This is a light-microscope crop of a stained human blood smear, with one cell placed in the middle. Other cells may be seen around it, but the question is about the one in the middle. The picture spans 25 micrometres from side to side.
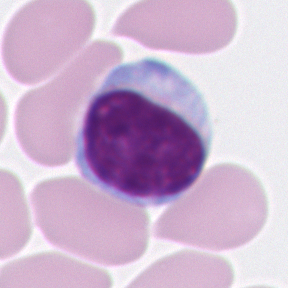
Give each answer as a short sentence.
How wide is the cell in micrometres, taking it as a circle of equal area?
The diameter of the cell comes to about 12 micrometres.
